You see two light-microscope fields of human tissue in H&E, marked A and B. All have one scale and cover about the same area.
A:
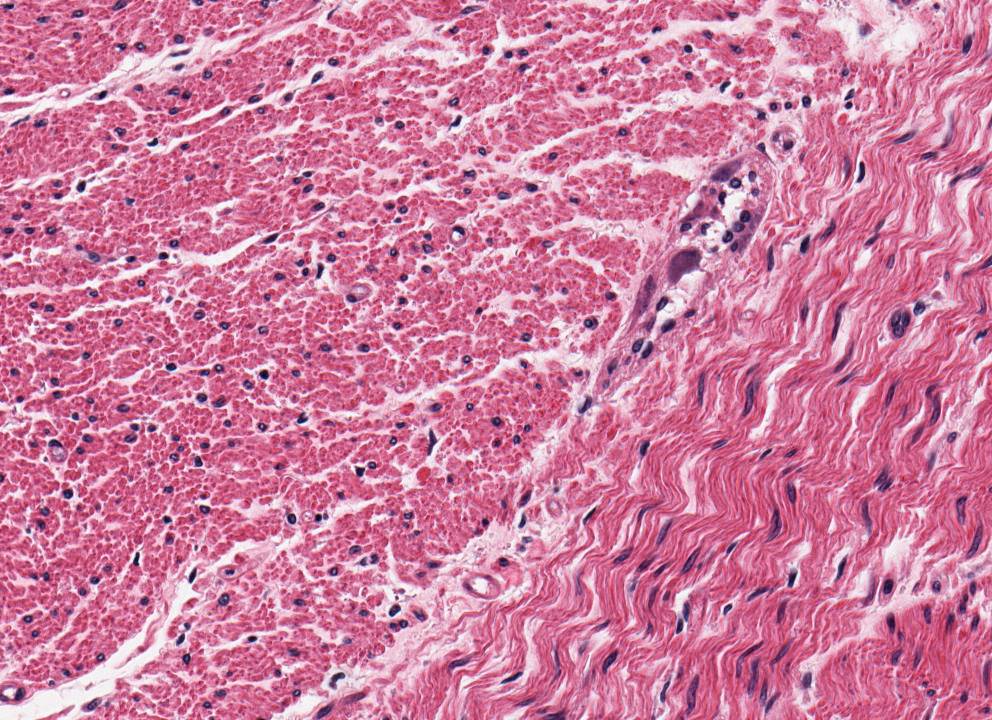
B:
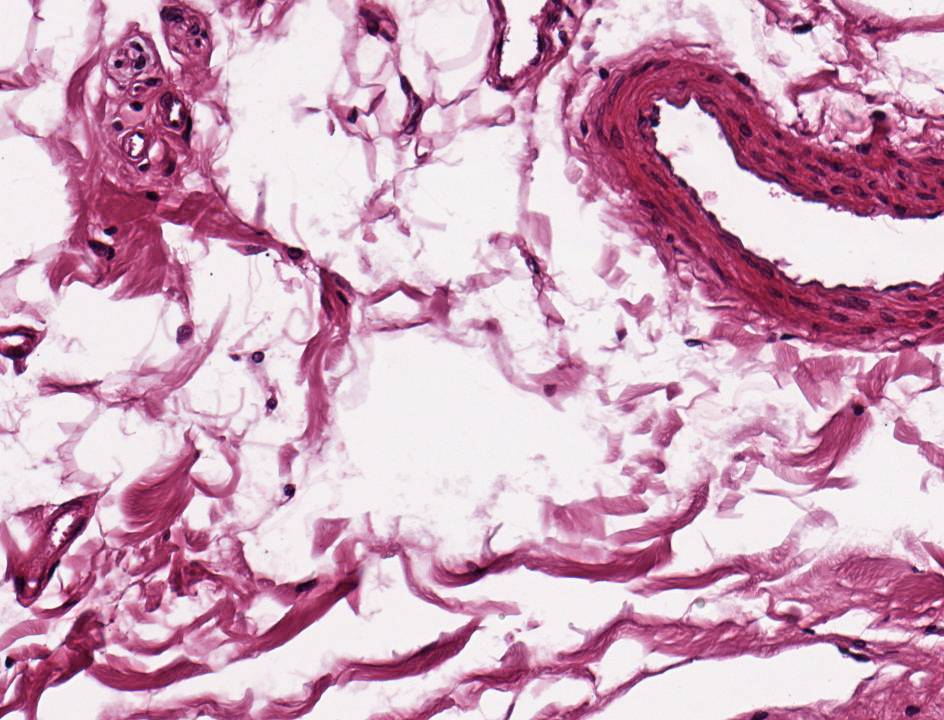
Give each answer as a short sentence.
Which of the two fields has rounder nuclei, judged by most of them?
The nuclei are rounder in picture A.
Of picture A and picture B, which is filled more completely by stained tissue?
It is picture A that stained tissue fills more completely.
